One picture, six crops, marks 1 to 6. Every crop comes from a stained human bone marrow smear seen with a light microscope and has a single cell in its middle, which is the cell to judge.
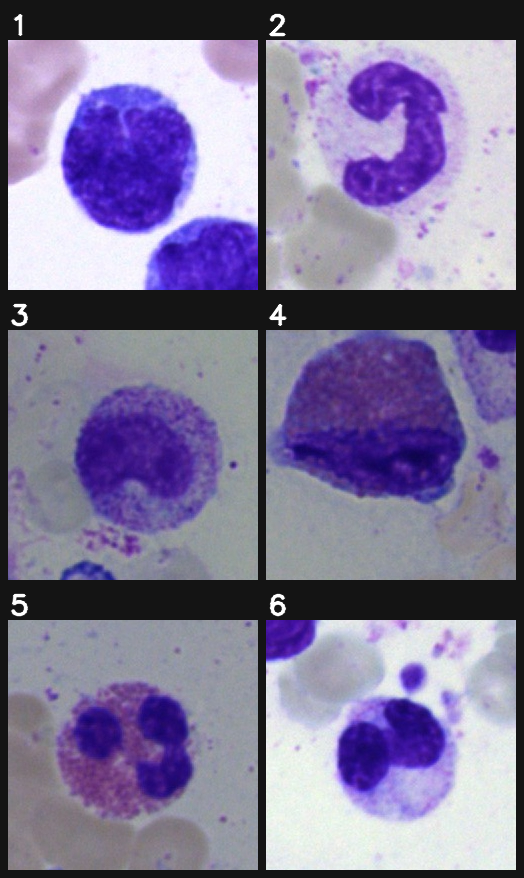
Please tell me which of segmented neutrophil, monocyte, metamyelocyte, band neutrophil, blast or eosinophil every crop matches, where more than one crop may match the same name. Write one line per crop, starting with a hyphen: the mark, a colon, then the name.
- 1: monocyte
- 2: band neutrophil
- 3: metamyelocyte
- 4: eosinophil
- 5: eosinophil
- 6: band neutrophil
